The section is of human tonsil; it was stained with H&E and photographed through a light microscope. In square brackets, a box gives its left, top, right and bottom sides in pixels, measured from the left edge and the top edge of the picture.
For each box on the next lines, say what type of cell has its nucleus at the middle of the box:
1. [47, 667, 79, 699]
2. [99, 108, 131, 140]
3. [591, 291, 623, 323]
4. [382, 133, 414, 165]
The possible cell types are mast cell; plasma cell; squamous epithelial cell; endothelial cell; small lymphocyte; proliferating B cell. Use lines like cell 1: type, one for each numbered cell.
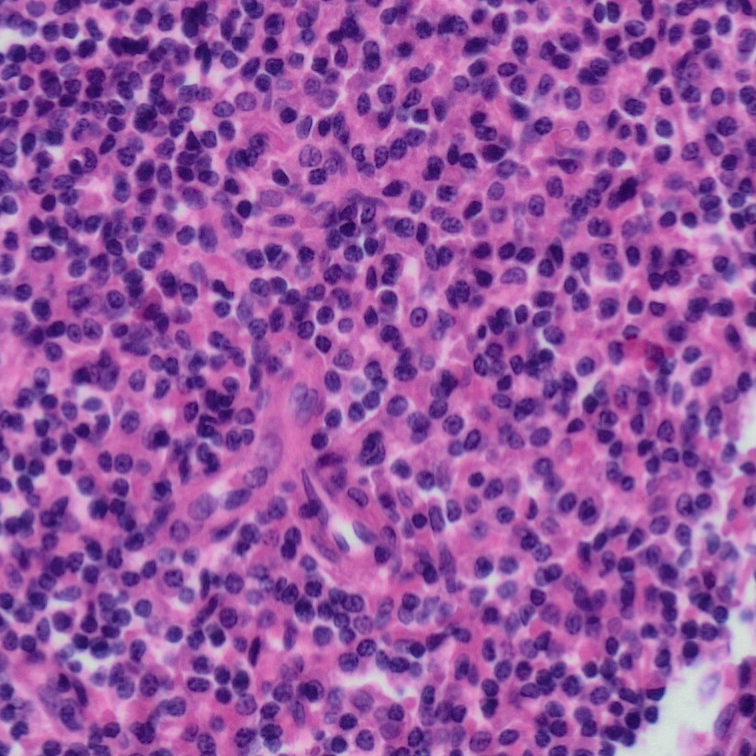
cell 1: endothelial cell
cell 2: small lymphocyte
cell 3: plasma cell
cell 4: plasma cell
